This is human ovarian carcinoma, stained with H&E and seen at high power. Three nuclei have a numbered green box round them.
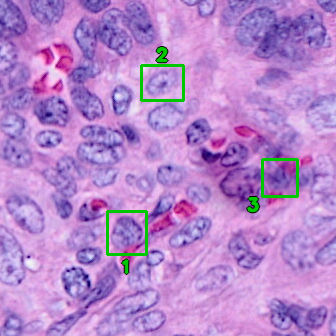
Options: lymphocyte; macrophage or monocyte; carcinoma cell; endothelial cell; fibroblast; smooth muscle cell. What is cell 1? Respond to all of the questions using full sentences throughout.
The correct answer for cell 1 is an endothelial cell.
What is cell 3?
Within this field of view, the cell labelled 3 is an endothelial cell.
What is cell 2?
Identified as a fibroblast is the cell bearing the number 2.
